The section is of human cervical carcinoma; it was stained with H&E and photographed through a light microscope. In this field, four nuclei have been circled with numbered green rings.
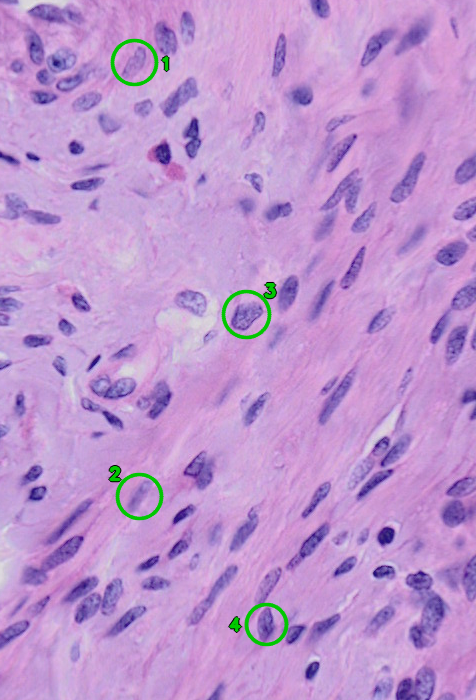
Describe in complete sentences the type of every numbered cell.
Cell 1 is a smooth muscle cell, cell 2 is a fibroblast, cell 3 is a fibroblast and cell 4 is a fibroblast.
